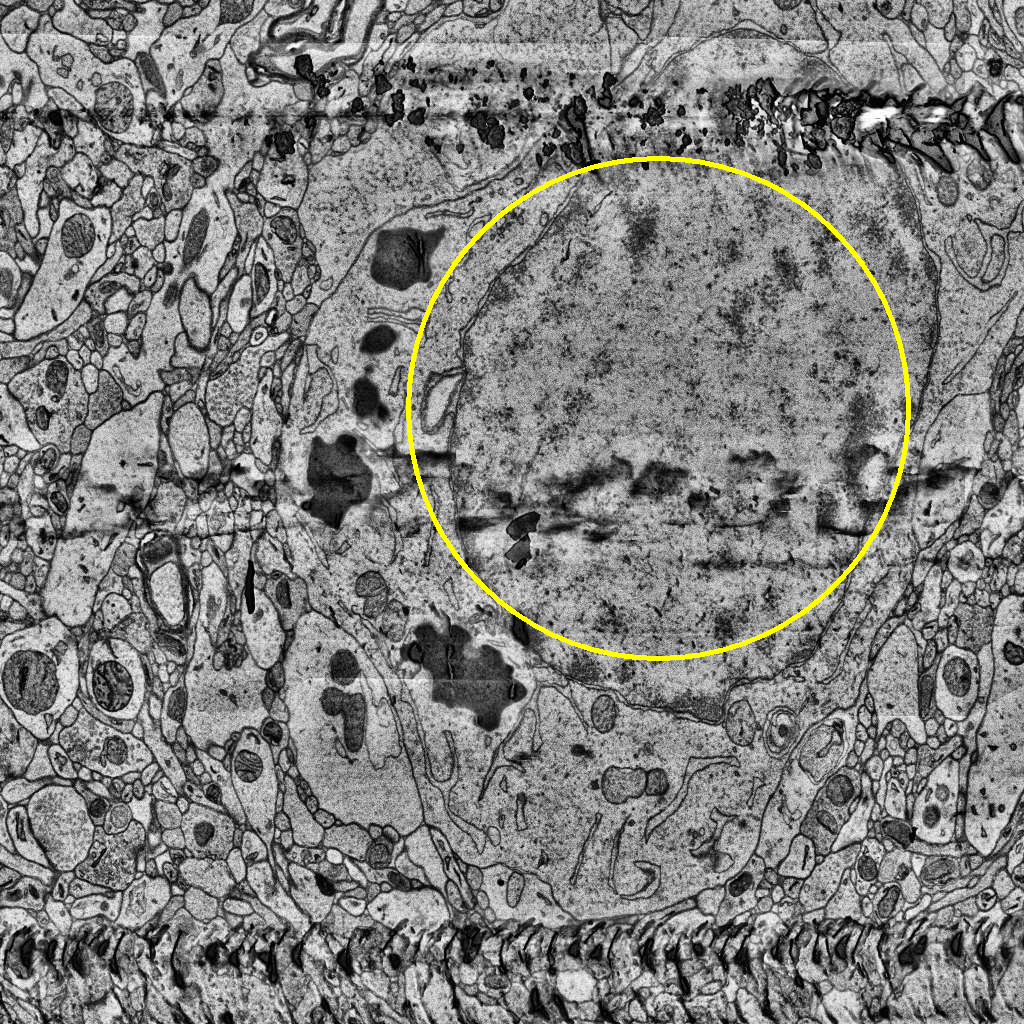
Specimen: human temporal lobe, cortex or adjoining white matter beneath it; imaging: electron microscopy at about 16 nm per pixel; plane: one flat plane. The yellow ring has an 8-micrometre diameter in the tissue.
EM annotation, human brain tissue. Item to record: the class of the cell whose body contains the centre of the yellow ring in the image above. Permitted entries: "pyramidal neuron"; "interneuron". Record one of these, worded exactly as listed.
interneuron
